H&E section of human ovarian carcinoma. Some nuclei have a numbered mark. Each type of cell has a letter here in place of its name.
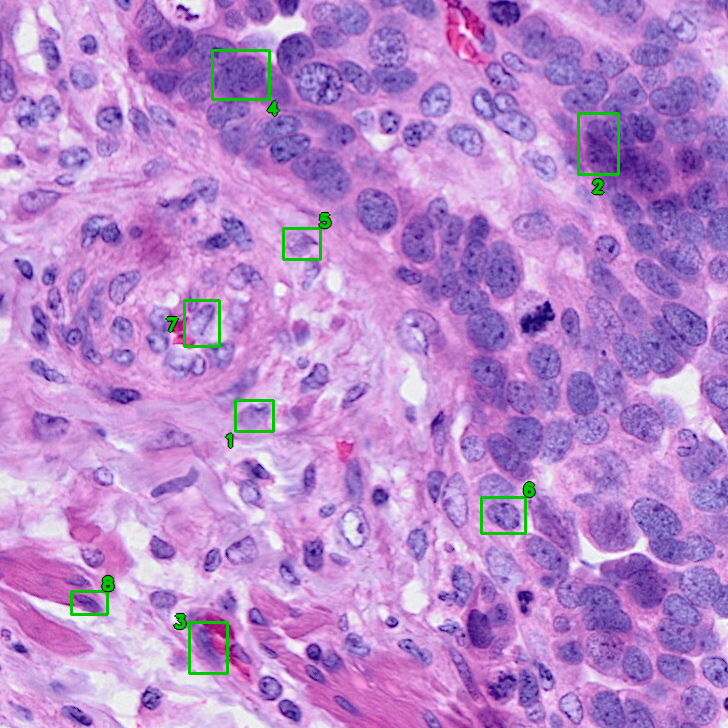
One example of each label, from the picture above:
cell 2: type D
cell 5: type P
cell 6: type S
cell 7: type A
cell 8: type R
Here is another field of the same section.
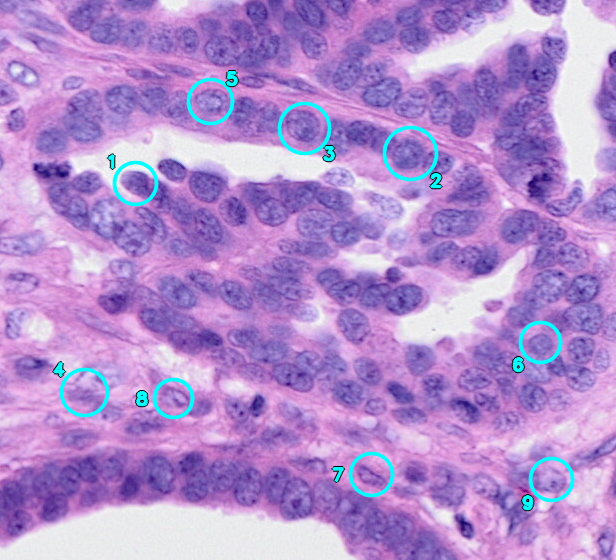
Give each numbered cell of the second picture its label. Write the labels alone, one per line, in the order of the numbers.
type D
type D
type D
type P
type D
type D
type S
type P
type A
